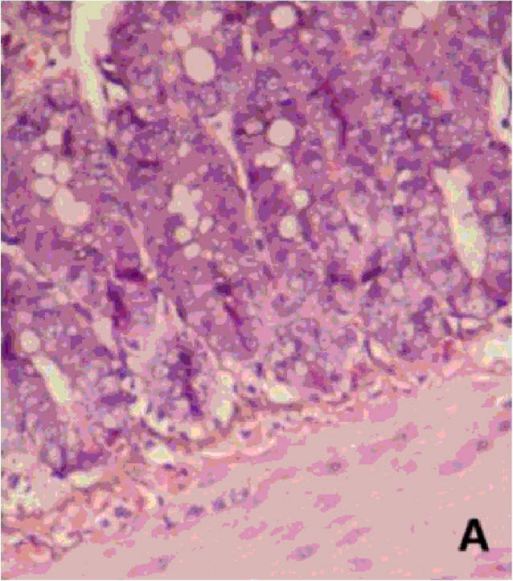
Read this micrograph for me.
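Intestinal mucosa with closely packed tubular glands lined by columnar epithelial cells with purple nuclei. Many clear, round vacuoles lie within the epithelium, consistent with mucus-filled goblet cells. Narrow strands of lamina propria separate the glands.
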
